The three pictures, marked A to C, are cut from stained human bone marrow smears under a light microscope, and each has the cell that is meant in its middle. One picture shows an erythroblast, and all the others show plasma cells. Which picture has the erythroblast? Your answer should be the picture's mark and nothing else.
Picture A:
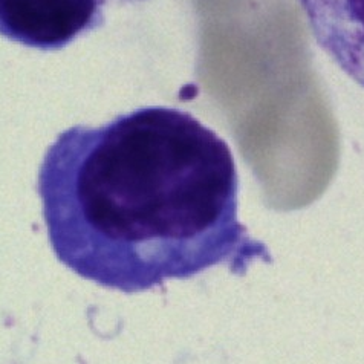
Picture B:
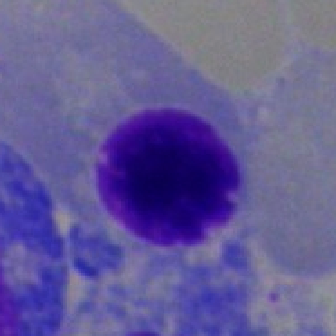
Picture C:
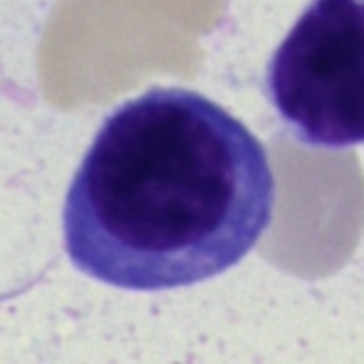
B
